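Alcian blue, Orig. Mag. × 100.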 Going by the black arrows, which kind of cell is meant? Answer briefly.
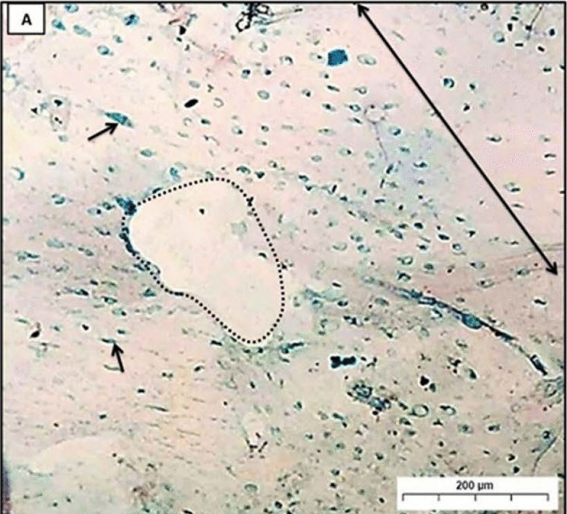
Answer: osteocytes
